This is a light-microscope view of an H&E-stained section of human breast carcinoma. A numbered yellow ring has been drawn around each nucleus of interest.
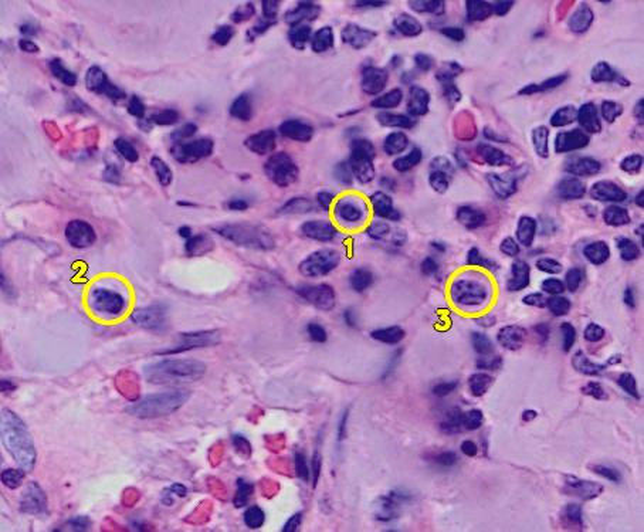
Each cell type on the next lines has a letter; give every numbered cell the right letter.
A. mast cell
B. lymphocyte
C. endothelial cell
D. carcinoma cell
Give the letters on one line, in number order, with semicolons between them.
B; B; A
